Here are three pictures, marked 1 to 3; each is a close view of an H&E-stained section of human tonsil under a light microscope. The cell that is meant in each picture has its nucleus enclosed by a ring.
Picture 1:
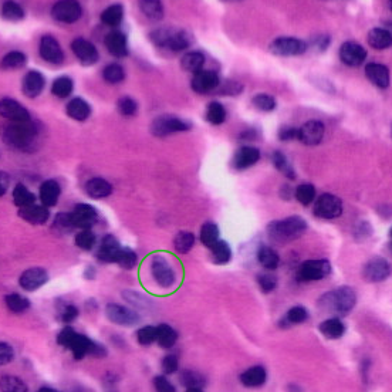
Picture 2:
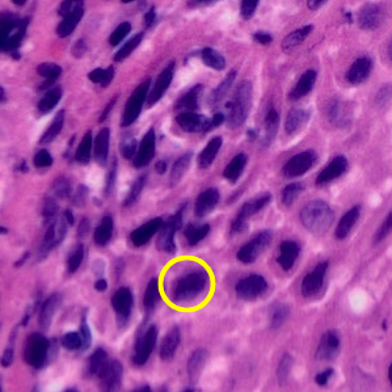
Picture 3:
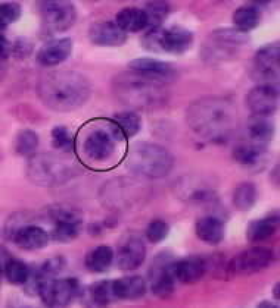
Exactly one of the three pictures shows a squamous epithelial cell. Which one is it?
2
